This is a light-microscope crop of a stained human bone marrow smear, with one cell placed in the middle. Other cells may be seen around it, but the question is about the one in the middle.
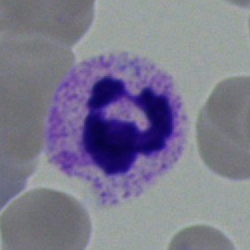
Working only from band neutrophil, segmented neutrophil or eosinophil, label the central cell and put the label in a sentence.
For this crop, the cell in the middle is a segmented neutrophil.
